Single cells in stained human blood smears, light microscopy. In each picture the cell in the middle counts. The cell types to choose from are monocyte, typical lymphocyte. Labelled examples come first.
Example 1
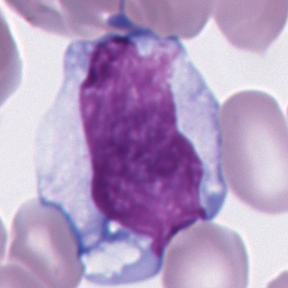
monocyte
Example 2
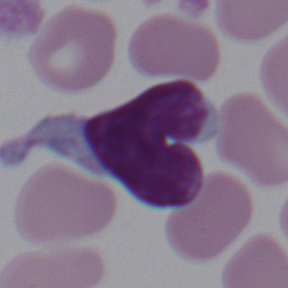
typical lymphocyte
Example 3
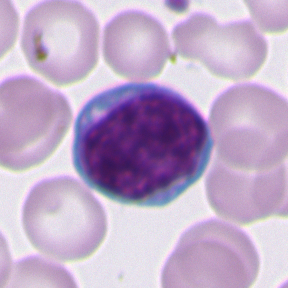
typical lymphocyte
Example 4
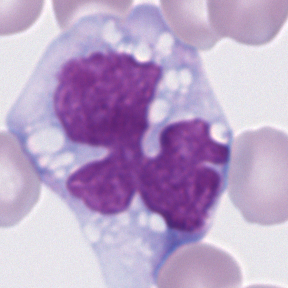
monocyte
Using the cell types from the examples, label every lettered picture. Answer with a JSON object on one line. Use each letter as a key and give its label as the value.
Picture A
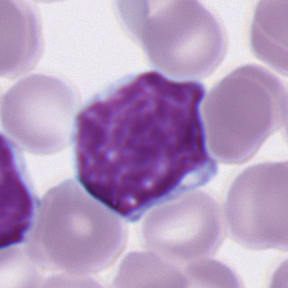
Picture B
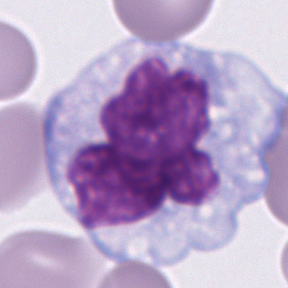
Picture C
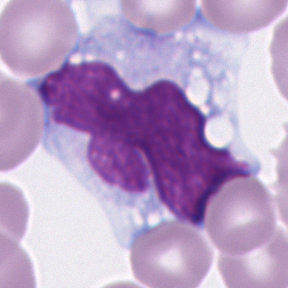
{"A": "typical lymphocyte", "B": "monocyte", "C": "monocyte"}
